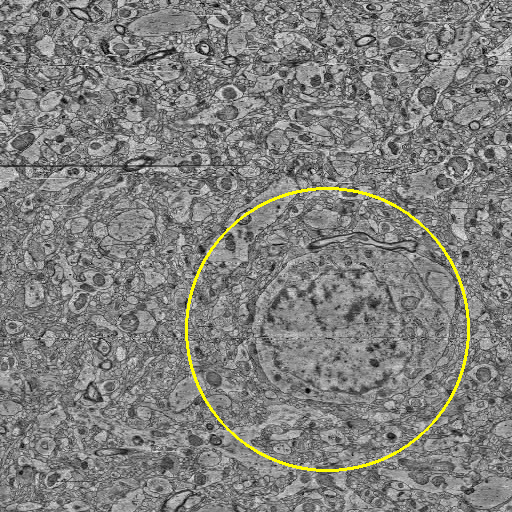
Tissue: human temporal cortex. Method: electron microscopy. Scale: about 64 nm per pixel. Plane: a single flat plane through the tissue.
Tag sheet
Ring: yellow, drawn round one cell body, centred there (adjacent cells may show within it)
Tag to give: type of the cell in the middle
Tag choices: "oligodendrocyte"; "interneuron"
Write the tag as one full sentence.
I tag the cell centred in the yellow ring as an interneuron in this picture.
